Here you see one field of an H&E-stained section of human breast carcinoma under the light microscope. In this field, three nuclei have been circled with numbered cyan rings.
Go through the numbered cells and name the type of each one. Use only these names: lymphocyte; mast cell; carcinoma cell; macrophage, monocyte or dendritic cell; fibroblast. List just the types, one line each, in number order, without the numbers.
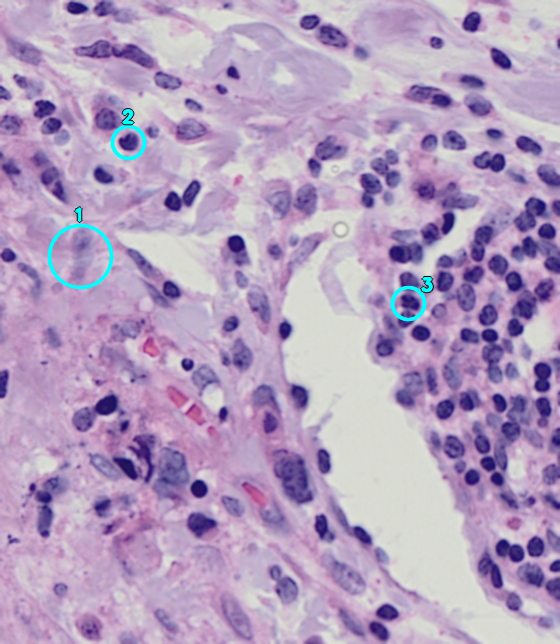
fibroblast
lymphocyte
lymphocyte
